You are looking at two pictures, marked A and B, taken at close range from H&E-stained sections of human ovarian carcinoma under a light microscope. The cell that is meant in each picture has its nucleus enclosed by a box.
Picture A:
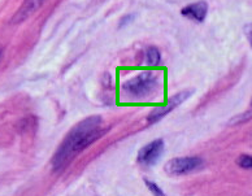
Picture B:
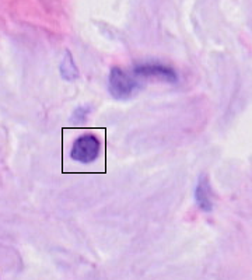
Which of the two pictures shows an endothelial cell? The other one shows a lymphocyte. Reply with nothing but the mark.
A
